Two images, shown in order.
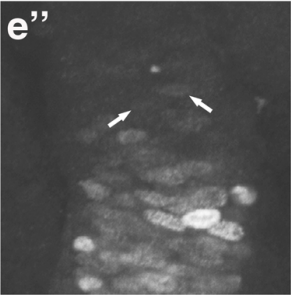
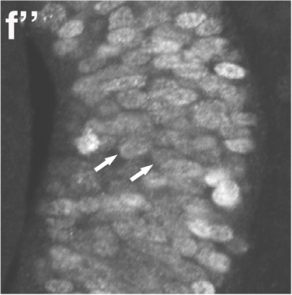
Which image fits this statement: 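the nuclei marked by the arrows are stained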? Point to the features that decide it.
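Second image: the arrows point to grey, oval nuclei among many stained nuclei.
The second image.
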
